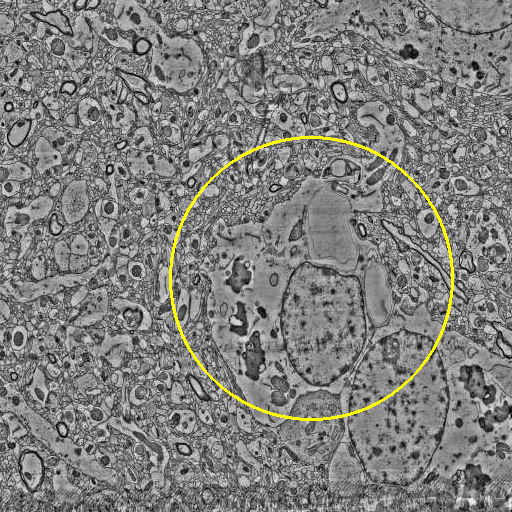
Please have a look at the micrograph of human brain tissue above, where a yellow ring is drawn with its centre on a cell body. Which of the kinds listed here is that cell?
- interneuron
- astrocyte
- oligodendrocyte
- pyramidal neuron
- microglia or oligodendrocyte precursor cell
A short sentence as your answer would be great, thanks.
At the centre of the ring sits an astrocyte.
